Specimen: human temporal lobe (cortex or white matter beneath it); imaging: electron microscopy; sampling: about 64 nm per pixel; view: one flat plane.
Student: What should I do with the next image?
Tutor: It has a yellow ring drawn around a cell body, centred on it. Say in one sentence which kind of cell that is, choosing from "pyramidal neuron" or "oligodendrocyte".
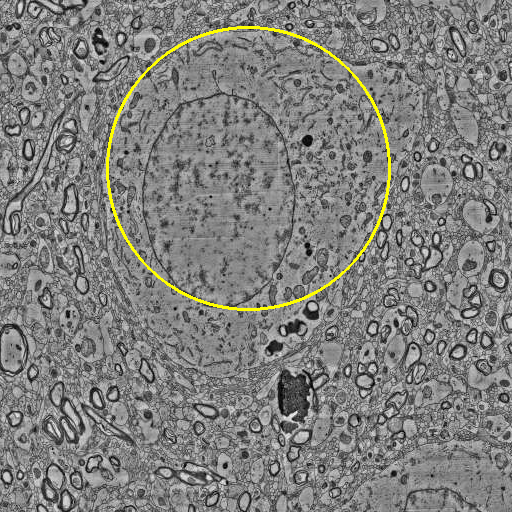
The ring's centre is occupied by a pyramidal neuron.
